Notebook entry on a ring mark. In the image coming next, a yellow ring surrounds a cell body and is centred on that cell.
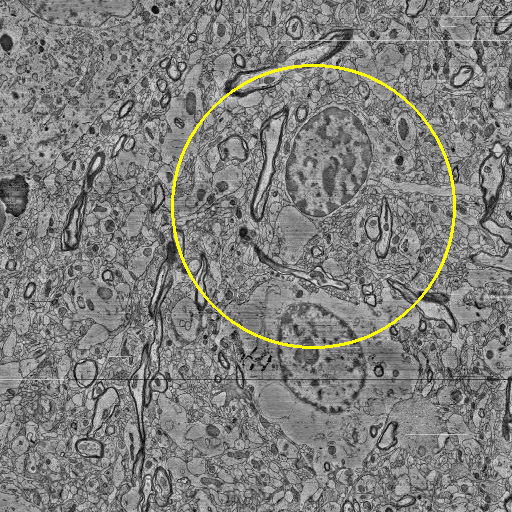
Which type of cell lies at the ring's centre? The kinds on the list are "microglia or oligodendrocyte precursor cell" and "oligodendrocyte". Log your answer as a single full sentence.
Centred in the yellow ring is a microglial cell or oligodendrocyte precursor cell, the cell recorded for this image.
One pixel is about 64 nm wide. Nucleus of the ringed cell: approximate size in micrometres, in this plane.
In this plane, roughly 7 by 5 micrometres.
